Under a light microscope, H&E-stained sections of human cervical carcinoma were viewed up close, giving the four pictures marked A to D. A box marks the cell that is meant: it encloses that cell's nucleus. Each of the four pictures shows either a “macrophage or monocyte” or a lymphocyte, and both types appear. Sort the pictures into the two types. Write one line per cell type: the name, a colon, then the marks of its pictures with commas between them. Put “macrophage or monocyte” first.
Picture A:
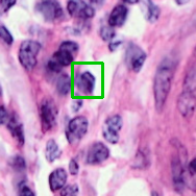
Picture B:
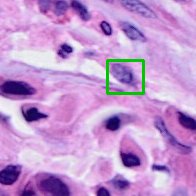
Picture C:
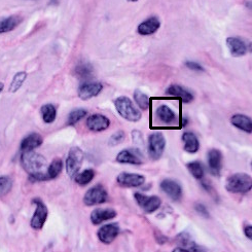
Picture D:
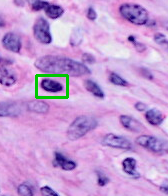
macrophage or monocyte: B
lymphocyte: A, C, D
